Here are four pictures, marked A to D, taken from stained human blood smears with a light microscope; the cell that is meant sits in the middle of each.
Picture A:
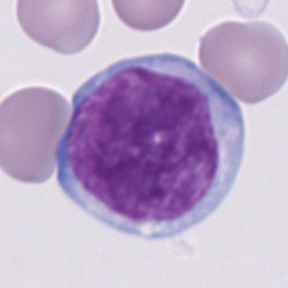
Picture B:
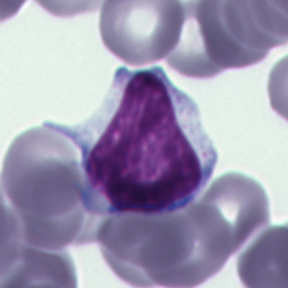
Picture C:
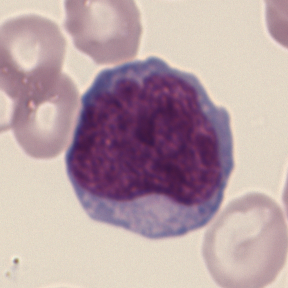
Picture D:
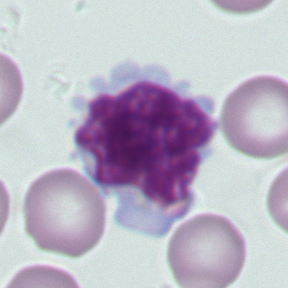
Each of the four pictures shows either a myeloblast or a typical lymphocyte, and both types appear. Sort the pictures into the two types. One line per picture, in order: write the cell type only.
myeloblast
typical lymphocyte
myeloblast
typical lymphocyte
